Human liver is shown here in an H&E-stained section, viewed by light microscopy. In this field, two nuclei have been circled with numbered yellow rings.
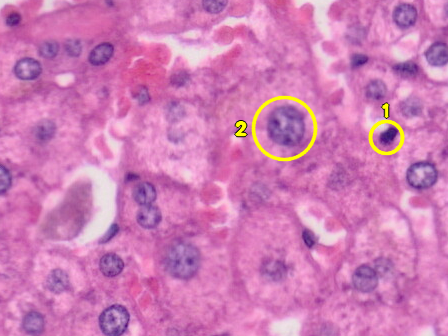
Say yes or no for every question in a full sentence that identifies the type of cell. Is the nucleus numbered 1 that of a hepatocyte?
No, the cell that carries number 1 is a fibroblast or stellate cell, not a hepatocyte.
